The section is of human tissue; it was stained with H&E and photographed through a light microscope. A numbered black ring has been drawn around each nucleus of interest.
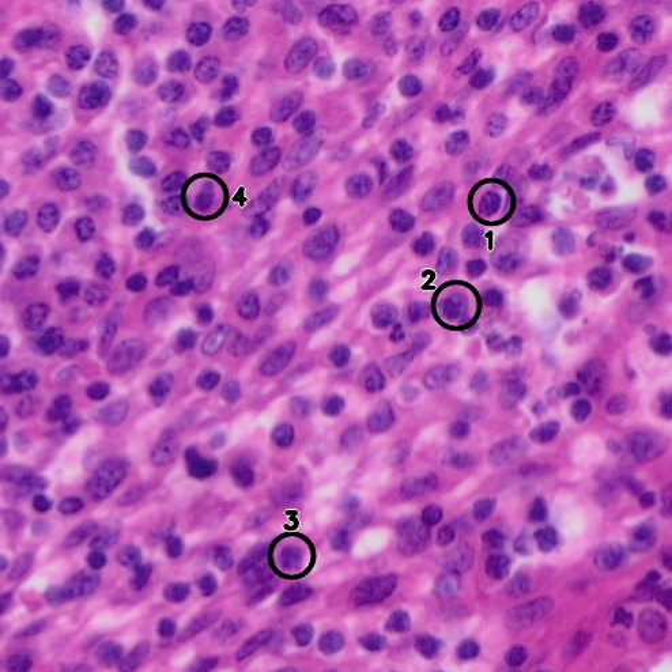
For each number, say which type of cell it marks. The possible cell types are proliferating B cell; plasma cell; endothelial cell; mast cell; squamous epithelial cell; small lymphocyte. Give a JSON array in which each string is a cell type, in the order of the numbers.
["plasma cell", "plasma cell", "squamous epithelial cell", "plasma cell"]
